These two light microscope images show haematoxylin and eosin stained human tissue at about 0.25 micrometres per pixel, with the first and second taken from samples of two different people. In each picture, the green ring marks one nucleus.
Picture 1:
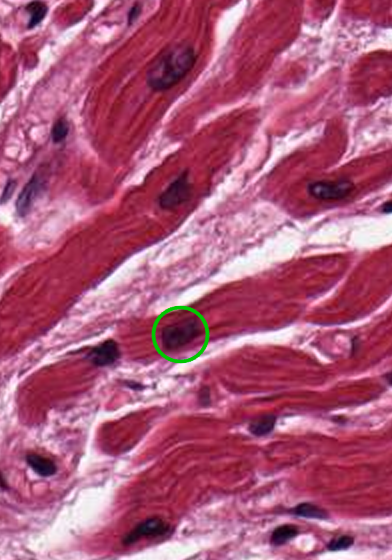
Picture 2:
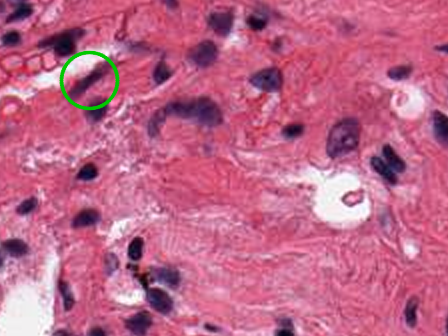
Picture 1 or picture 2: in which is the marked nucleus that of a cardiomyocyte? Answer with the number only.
1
